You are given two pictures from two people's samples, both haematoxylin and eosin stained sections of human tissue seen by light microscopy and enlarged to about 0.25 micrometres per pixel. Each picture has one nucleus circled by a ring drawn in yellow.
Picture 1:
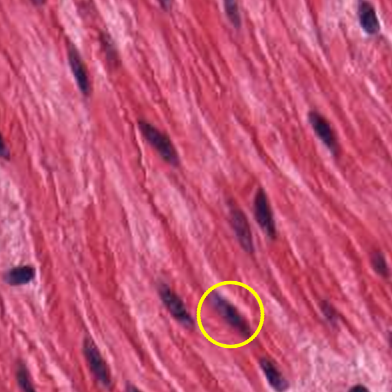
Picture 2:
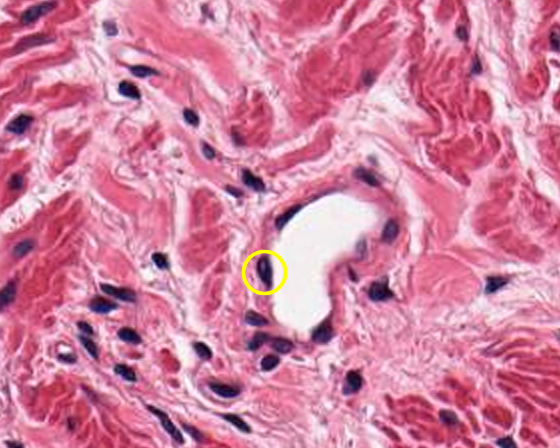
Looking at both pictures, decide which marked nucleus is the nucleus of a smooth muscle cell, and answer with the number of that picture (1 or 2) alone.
1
